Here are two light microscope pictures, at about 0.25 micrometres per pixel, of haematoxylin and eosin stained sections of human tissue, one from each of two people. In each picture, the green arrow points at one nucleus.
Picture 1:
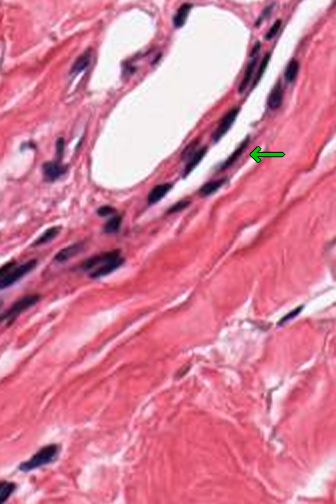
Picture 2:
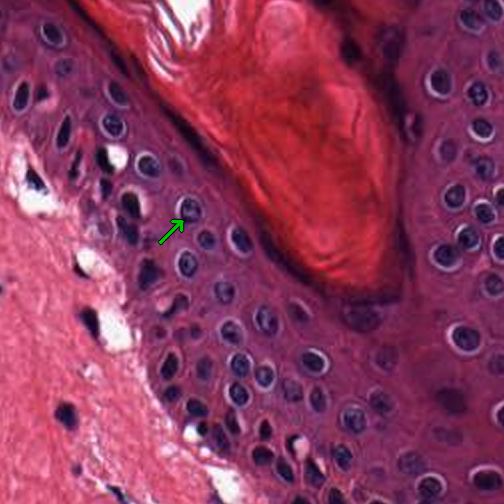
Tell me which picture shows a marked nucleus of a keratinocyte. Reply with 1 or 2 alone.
2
